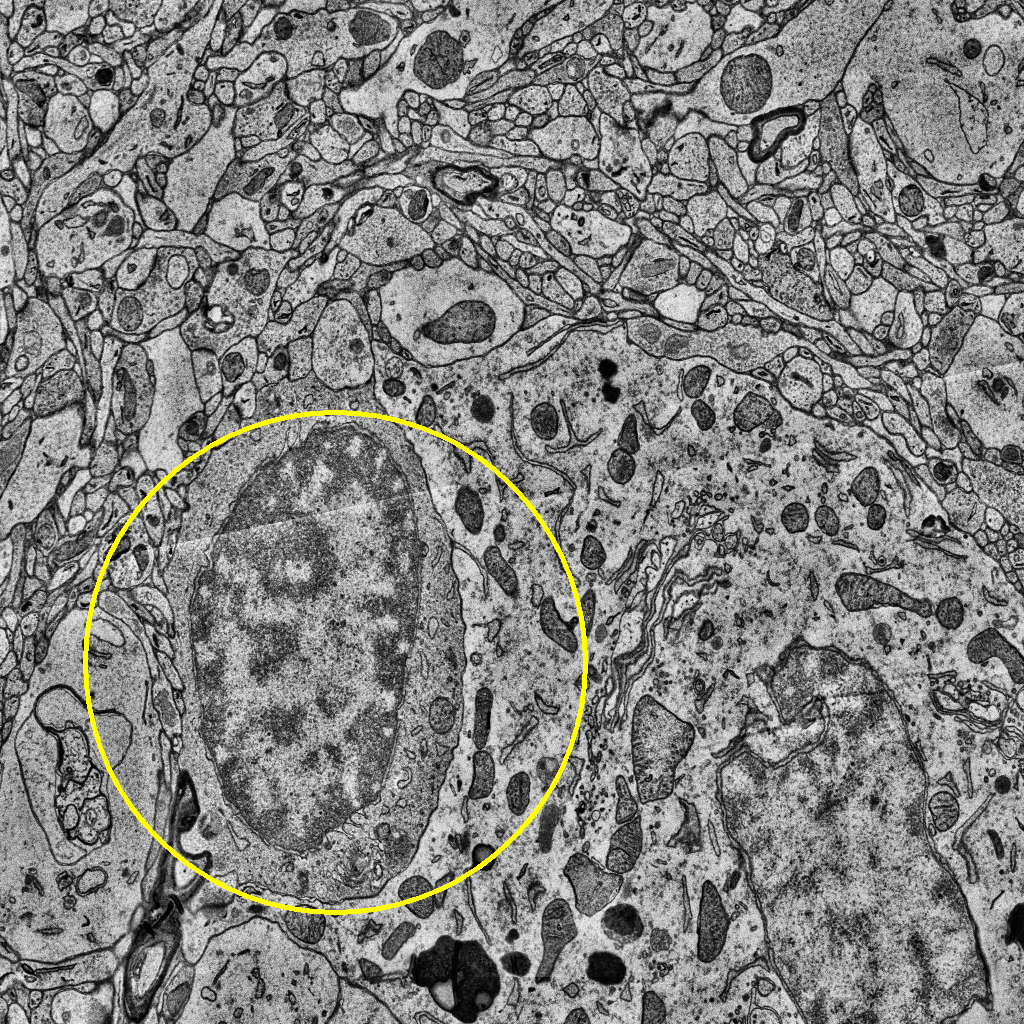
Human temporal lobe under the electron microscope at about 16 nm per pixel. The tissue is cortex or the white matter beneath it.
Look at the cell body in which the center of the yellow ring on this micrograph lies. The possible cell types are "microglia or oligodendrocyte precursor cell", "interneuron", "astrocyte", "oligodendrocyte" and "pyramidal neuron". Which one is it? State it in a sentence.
The cell at the middle of the ring is an oligodendrocyte.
